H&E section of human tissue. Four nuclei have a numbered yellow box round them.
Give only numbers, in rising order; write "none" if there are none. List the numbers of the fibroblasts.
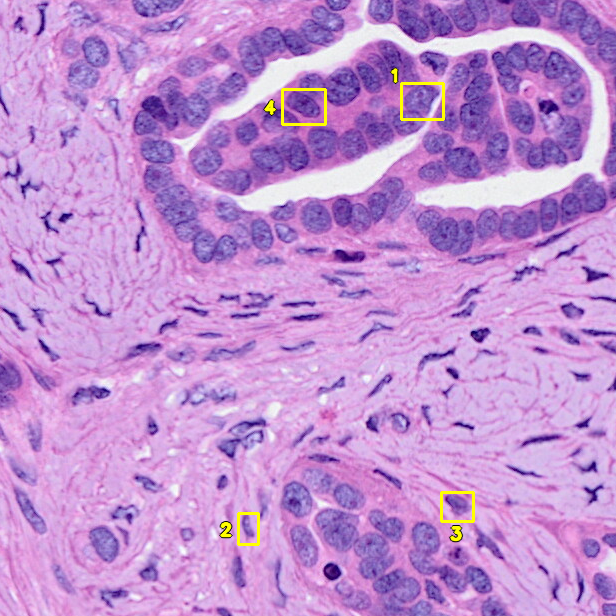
2, 3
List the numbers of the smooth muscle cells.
none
